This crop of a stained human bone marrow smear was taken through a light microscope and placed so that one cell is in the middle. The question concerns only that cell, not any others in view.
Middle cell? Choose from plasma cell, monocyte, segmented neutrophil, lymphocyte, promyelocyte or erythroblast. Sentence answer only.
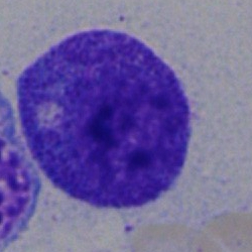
The central cell in this smear crop is a promyelocyte.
